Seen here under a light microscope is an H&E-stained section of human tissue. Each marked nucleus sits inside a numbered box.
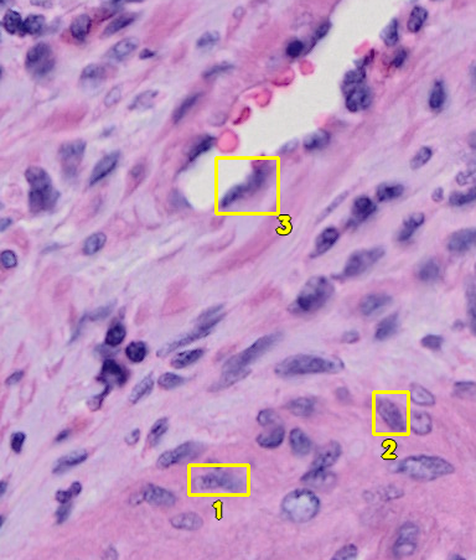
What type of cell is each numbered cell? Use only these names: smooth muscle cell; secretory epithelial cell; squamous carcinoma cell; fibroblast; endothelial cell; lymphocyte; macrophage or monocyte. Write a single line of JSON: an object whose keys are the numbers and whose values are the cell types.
{"1": "smooth muscle cell", "2": "smooth muscle cell", "3": "endothelial cell"}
